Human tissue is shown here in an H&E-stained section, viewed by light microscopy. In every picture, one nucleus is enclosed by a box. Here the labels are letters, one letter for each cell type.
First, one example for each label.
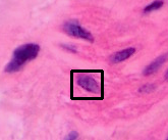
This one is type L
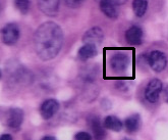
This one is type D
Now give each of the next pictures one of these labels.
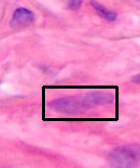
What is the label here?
type L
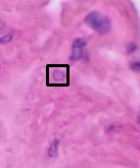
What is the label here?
type L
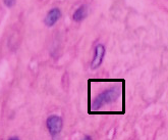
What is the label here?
type L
